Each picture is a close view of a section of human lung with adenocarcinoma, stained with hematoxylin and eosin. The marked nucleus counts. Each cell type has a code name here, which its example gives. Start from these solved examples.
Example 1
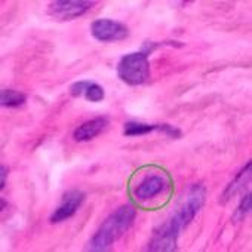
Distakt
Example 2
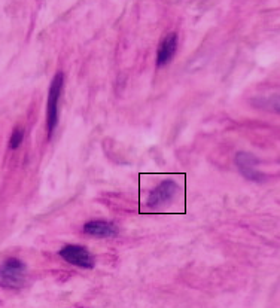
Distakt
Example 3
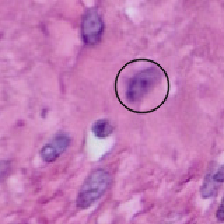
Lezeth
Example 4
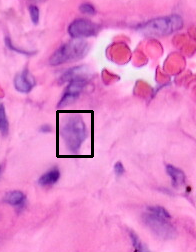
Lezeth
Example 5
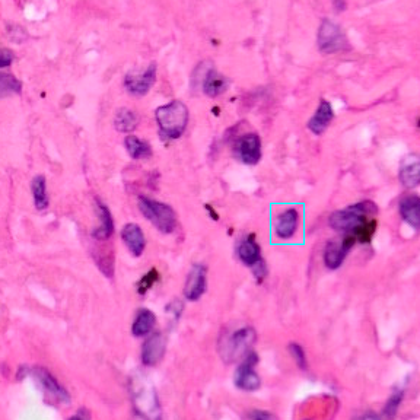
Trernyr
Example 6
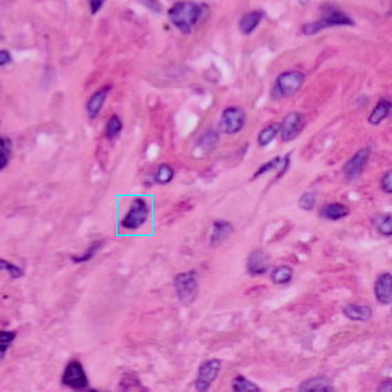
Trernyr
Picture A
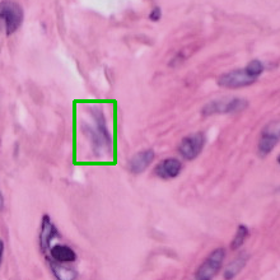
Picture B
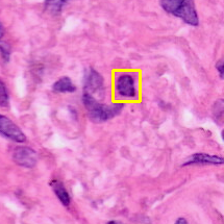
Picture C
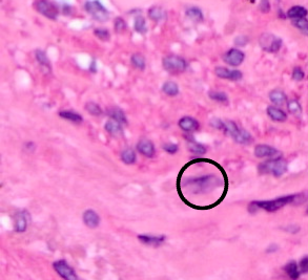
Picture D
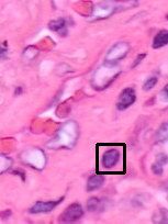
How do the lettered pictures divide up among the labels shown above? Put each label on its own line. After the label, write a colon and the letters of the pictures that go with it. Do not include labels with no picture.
Lezeth: A, C
Trernyr: B, D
